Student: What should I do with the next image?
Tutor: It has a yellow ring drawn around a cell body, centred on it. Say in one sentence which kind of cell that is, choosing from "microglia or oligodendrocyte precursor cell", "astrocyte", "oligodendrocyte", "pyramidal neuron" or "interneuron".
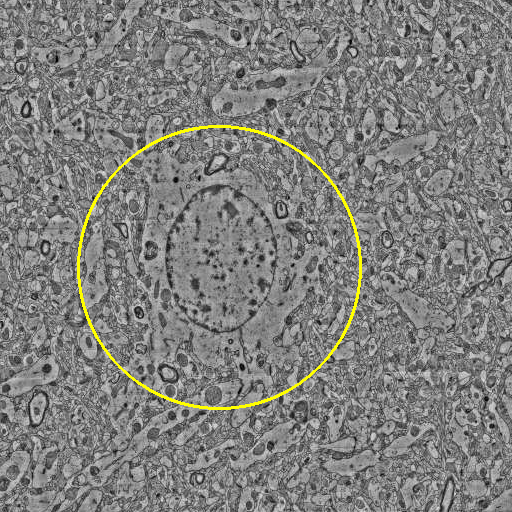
The ring's centre is occupied by an astrocyte.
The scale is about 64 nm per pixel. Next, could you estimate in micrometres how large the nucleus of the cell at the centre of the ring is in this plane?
Roughly 9 micrometres by 7 micrometres, in this plane.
